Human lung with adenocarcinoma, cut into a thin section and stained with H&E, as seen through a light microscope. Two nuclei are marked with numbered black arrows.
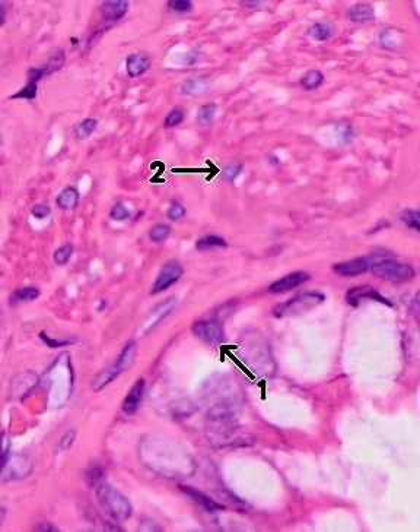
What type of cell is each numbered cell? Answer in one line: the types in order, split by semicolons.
ciliated epithelial cell; smooth muscle cell or pericyte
